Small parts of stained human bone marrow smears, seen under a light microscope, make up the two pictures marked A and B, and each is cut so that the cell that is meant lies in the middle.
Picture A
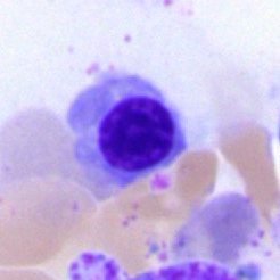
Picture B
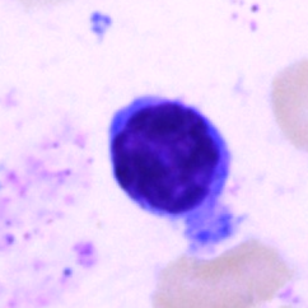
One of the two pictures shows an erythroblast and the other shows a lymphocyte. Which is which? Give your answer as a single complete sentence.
Picture B shows a lymphocyte, while picture A shows an erythroblast.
